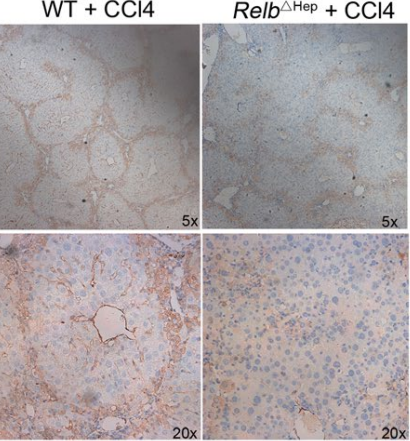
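Sections of liver are shown at low and higher magnification, with a pale parenchyma of polygonal cells with round blue nuclei. At low magnification, thin brown-stained bands run between and around rounded areas of parenchyma, giving a nodular pattern. At higher magnification, brown staining lies along strands between the cells, and is stronger in some images than in others.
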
